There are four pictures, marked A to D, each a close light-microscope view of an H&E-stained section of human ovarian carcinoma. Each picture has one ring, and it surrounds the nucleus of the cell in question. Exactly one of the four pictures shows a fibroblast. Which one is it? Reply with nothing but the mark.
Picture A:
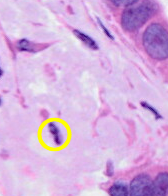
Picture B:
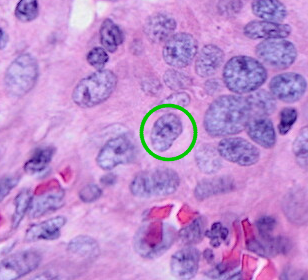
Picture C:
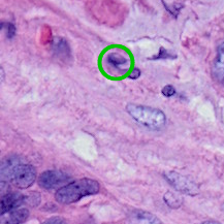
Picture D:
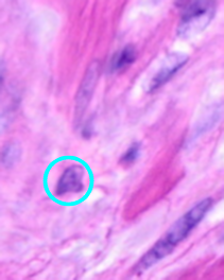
A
